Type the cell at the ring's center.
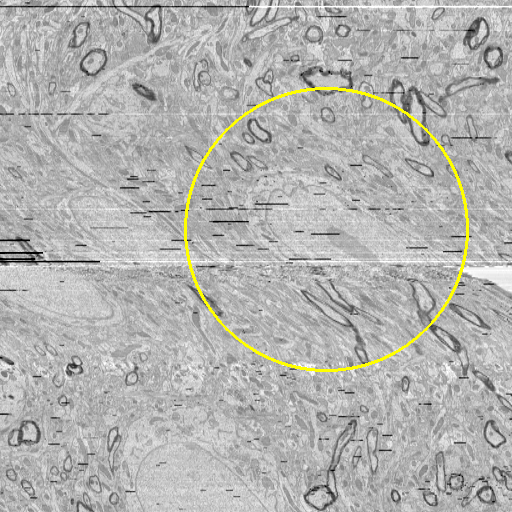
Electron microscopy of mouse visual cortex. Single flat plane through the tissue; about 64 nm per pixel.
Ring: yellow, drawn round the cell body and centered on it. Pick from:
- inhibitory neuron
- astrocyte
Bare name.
inhibitory neuron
